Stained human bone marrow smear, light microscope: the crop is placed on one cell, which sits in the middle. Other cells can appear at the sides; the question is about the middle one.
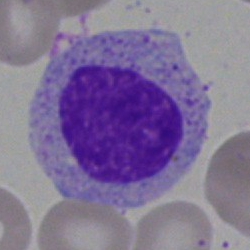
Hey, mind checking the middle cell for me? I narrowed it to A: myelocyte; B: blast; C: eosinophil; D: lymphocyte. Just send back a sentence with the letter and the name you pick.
That cell in the center is a myelocyte, hence option A.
